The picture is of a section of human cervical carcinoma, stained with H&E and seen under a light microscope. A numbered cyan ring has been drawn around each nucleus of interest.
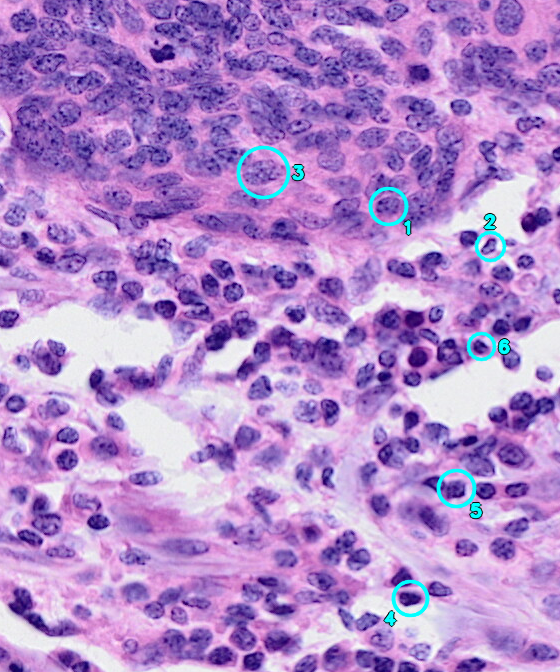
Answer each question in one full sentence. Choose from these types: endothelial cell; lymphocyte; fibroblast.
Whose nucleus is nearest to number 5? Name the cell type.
The cell nearest to number 5 is a lymphocyte.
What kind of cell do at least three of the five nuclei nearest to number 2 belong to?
Of the five nuclei nearest to number 2, most belong to lymphocytes.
